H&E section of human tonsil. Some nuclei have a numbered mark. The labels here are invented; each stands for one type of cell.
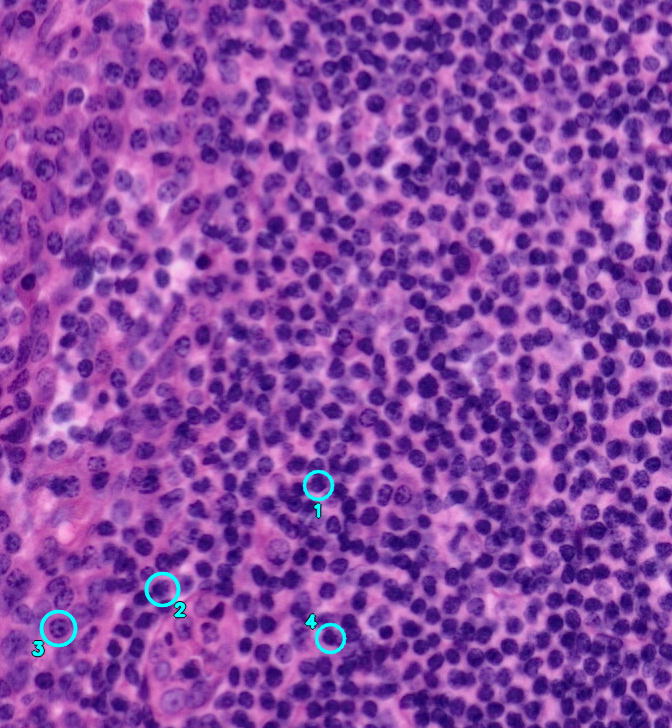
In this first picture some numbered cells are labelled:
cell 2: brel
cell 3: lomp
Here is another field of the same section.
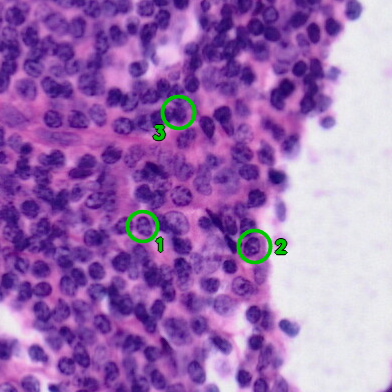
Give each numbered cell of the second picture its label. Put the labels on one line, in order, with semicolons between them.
brel; lomp; brel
